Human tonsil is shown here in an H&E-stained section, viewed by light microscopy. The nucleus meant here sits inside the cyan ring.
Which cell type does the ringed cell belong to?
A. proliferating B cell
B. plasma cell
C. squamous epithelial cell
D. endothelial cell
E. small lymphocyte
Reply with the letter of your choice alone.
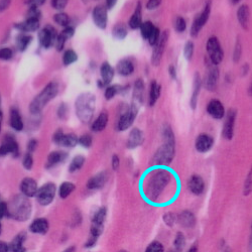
D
